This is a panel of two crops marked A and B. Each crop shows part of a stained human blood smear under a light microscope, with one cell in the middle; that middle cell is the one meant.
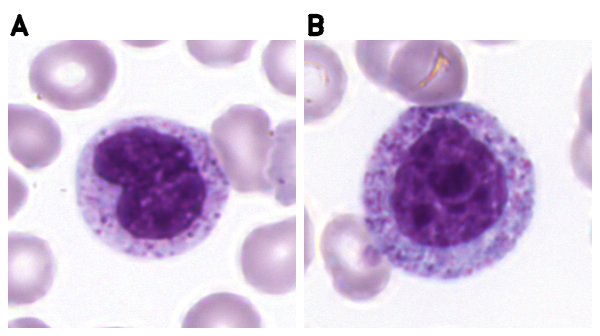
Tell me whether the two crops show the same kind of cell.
no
